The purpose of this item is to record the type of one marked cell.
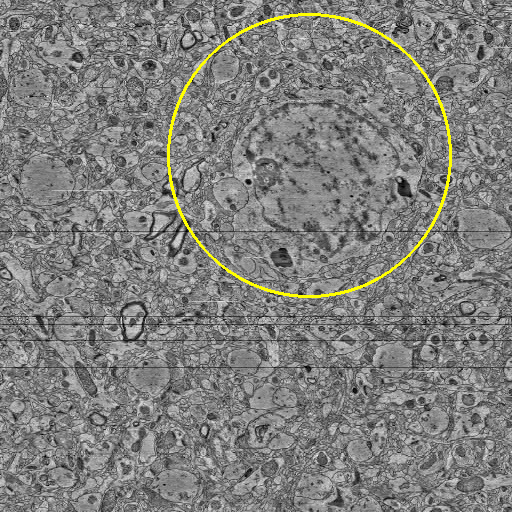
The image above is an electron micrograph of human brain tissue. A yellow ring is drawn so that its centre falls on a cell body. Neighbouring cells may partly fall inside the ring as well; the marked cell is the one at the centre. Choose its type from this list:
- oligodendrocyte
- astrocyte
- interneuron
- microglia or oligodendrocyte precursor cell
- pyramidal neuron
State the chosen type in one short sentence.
What the ring marks here is an interneuron.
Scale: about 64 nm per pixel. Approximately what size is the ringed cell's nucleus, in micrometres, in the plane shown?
The nucleus of the ringed cell is approximately 10 micrometres across in this plane.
